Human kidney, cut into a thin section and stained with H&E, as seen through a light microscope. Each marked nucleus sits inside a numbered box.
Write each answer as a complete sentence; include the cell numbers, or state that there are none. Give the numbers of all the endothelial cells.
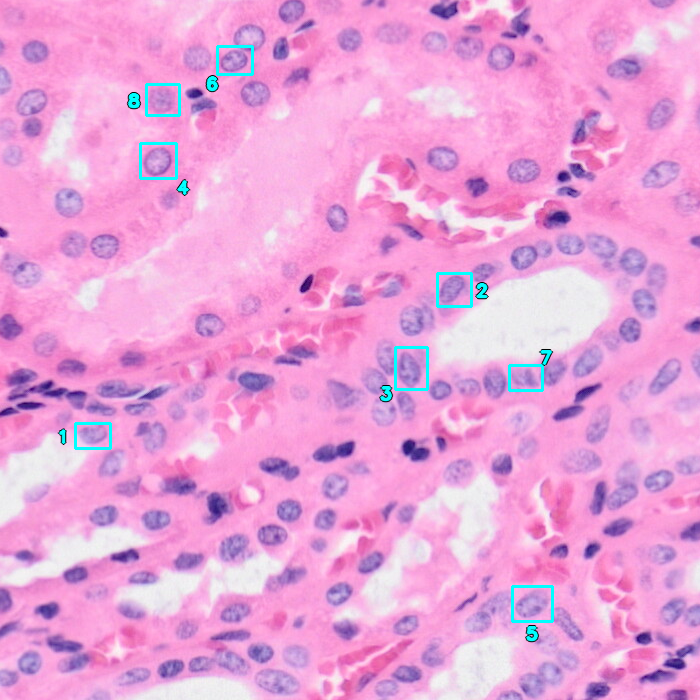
None among the numbered cells are endothelial cells.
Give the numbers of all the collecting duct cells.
Cells 2, 3, 5 and 7 in the section are typed as collecting duct cells.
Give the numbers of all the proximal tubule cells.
Cells 4, 6 and 8 in the section are typed as proximal tubule cells.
